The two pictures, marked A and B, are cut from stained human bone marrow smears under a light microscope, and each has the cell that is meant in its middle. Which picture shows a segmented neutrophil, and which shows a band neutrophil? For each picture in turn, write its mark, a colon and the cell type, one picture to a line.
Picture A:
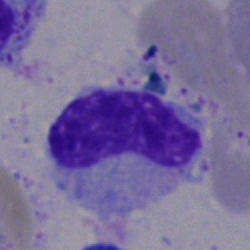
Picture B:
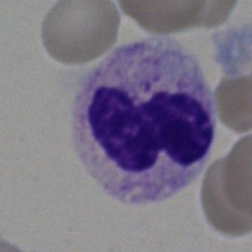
A: band neutrophil
B: segmented neutrophil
